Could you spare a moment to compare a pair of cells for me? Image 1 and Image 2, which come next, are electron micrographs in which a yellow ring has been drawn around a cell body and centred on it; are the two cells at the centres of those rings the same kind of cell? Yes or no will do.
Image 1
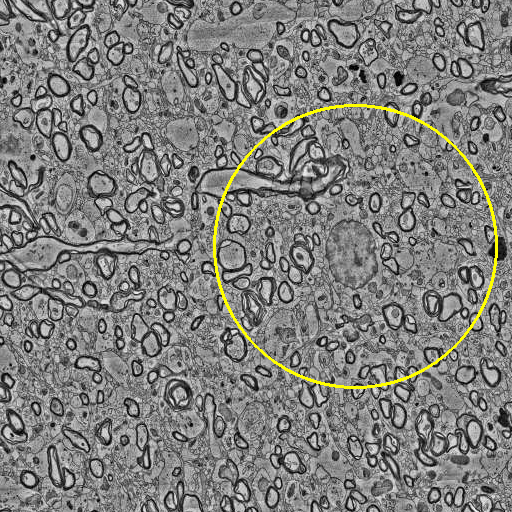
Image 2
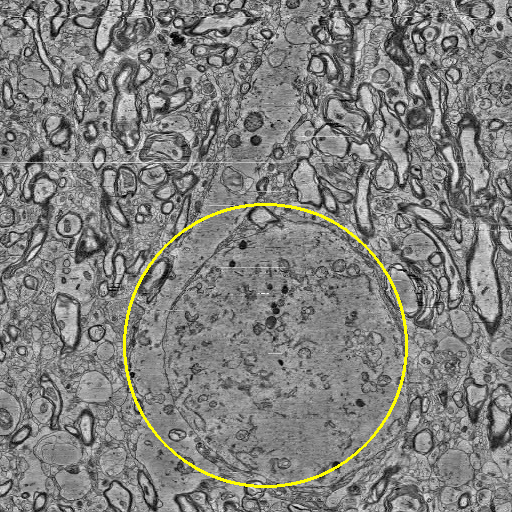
no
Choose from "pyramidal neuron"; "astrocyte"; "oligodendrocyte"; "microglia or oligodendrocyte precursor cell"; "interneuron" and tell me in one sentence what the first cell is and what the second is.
What the first ring is centred on is an oligodendrocyte; what the second ring is centred on is a pyramidal neuron.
